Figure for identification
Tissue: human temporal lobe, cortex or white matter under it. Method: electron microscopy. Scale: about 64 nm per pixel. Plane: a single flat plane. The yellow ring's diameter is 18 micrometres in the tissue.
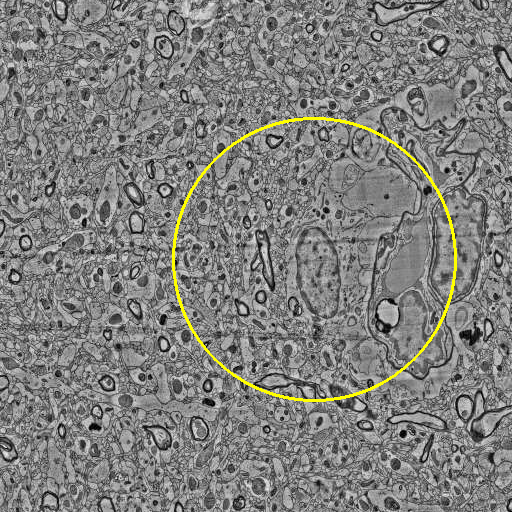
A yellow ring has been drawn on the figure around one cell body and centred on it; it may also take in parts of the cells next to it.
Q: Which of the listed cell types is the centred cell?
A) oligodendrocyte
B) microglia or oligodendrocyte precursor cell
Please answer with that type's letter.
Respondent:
B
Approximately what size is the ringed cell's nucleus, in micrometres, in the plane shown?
About 6 by 3 micrometres in this plane.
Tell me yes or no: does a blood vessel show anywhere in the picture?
Yes.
